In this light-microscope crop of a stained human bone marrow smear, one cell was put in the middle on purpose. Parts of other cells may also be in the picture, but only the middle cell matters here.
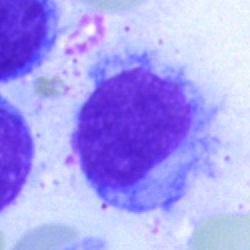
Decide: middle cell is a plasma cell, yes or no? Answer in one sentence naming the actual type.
No, wrong label: the middle cell is a hairy cell instead of a plasma cell.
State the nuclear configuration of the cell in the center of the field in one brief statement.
Please observe that the nucleus consists of one compact round, oval or kidney-shaped mass.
